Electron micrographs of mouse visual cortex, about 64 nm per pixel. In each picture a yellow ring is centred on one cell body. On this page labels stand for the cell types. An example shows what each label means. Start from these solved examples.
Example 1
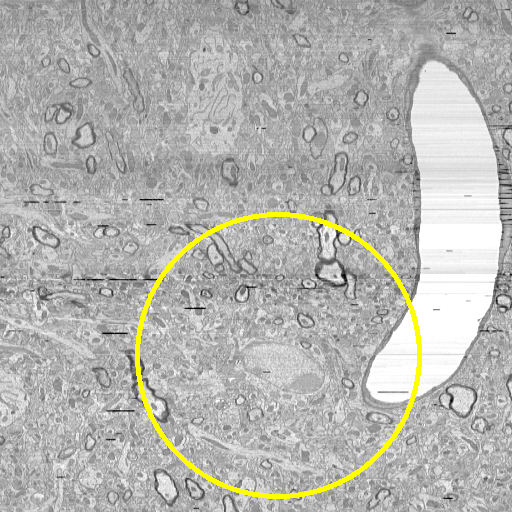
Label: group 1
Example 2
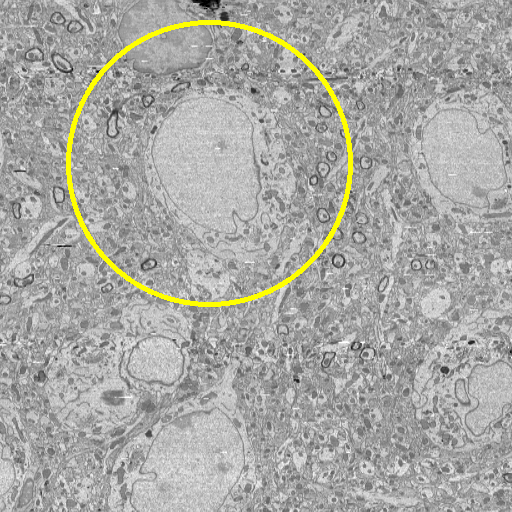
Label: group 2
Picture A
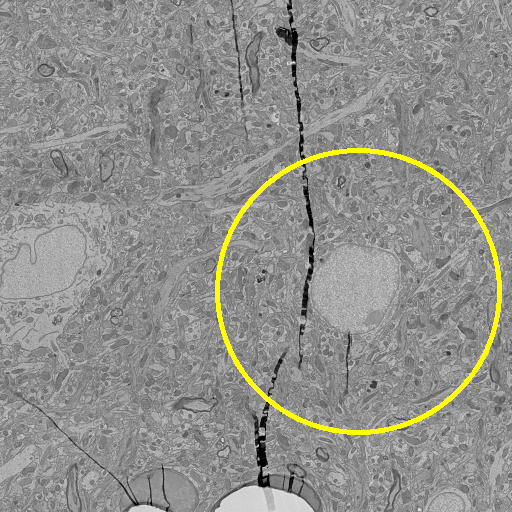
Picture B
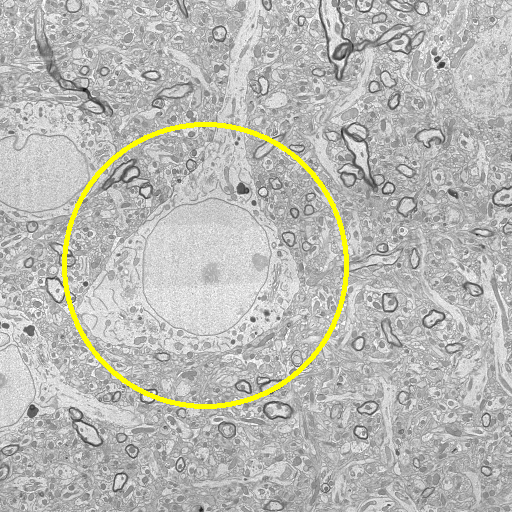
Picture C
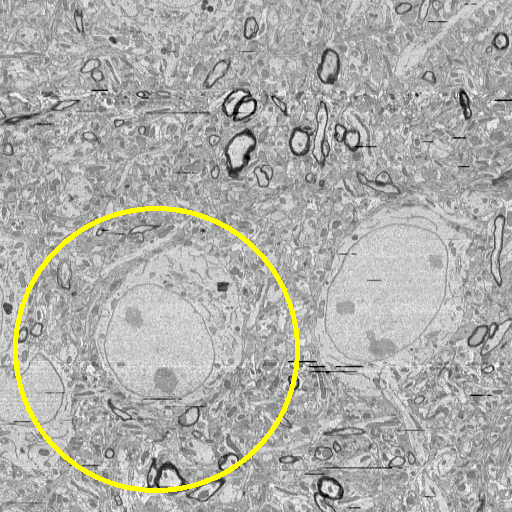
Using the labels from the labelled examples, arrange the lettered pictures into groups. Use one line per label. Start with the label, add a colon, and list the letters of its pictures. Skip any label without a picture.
group 1: A
group 2: B, C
